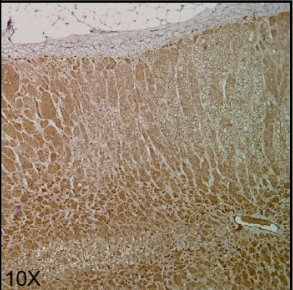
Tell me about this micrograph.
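This is normal adrenal gland, showing the capsule and the underlying cortex. At the top a thin fibrous capsule lies against fat cells, and beneath it the cortical cells are arranged in long parallel cords running towards the interior. A small vessel is seen among the cords near the lower right.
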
